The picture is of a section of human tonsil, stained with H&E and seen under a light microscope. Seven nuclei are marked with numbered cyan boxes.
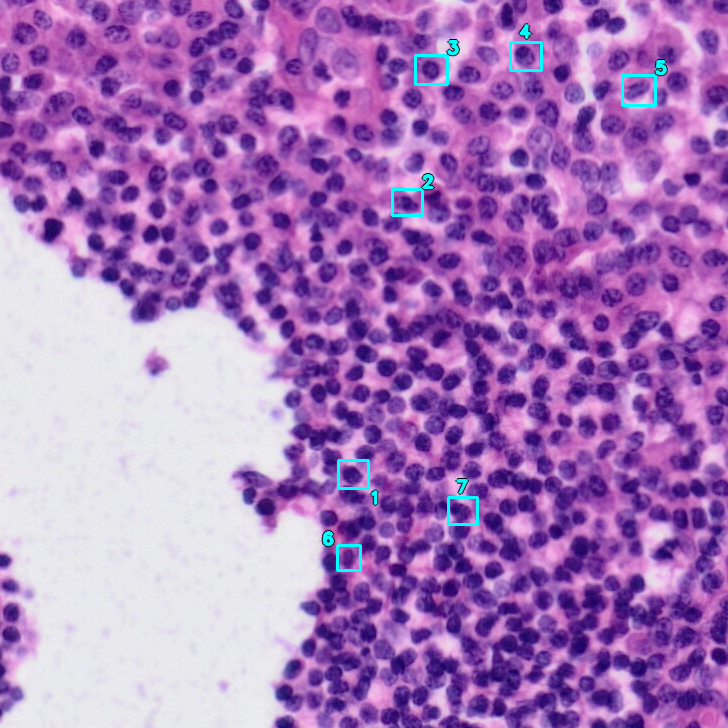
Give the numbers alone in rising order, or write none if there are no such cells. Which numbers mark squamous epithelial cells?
none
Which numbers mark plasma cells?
2, 3, 4, 5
